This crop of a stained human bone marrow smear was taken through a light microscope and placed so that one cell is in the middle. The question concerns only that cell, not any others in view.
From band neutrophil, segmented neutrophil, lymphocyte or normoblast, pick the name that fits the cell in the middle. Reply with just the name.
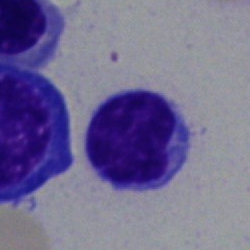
lymphocyte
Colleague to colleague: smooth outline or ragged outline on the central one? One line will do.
The edge of the cell is unbroken and smooth, bearing no projections.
